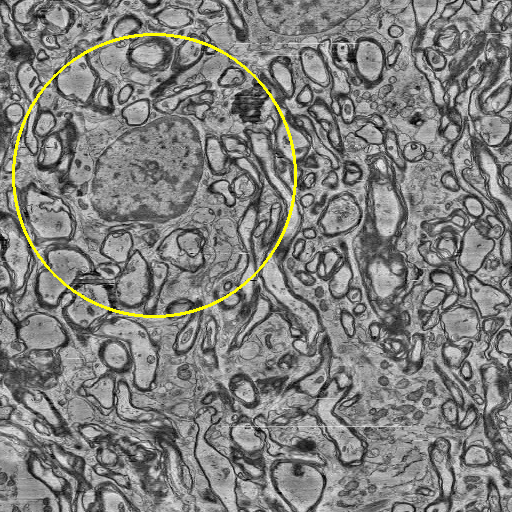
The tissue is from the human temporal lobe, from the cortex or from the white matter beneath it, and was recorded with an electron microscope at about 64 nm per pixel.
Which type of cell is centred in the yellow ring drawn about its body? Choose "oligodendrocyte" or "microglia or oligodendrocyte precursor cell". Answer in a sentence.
The yellow ring surrounds the cell body of a microglial cell or oligodendrocyte precursor cell.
